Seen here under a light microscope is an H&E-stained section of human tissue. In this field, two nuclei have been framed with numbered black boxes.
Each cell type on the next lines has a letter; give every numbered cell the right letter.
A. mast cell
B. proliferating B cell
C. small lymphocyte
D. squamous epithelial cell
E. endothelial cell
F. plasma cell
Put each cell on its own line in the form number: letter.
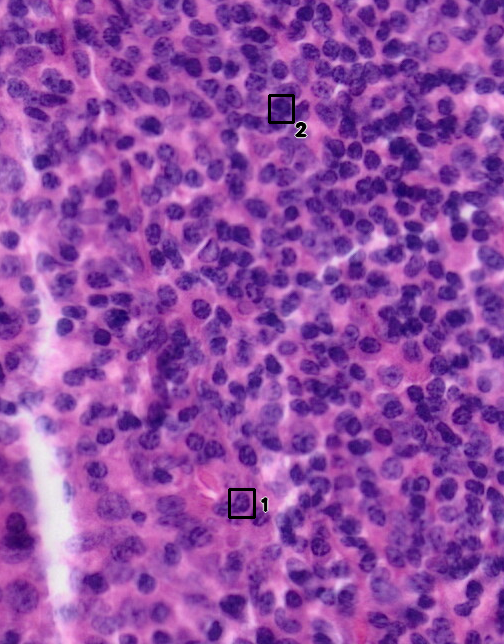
1: F
2: C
